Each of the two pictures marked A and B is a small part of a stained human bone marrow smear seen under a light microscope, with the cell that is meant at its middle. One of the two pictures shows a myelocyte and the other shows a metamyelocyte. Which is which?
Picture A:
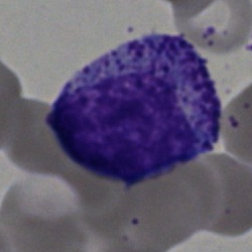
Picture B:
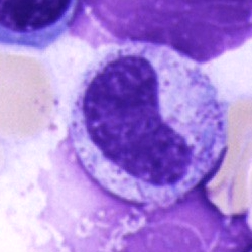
A: myelocyte
B: metamyelocyte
